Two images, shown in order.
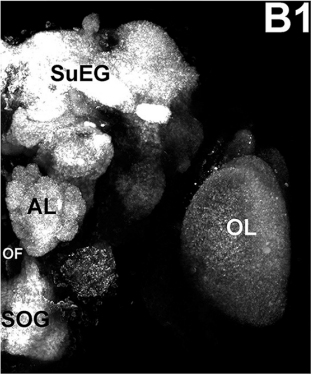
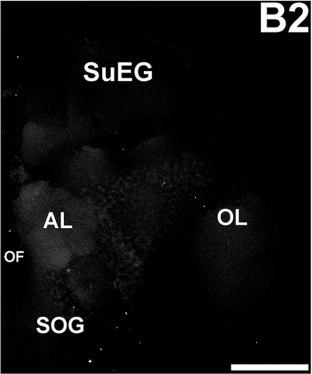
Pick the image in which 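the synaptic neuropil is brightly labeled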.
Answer: The first image.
